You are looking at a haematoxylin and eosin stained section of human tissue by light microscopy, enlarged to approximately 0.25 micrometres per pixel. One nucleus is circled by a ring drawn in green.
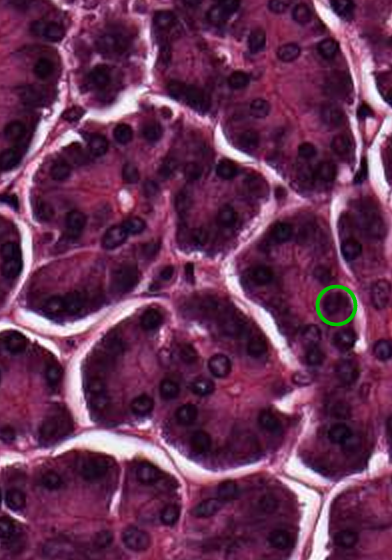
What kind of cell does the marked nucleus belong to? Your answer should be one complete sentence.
The marked nucleus lies within a pancreatic acinar cell.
